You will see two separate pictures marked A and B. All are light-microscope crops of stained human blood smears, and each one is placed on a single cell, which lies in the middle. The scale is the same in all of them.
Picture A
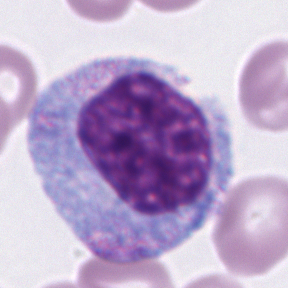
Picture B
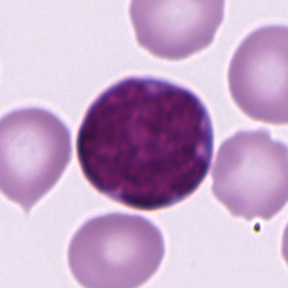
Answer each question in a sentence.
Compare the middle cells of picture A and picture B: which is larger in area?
Picture A holds the larger cell; it covers about 2 times the area of the cell in picture B.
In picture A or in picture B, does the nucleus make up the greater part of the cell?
In picture B the nucleus takes up the larger part of its cell.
